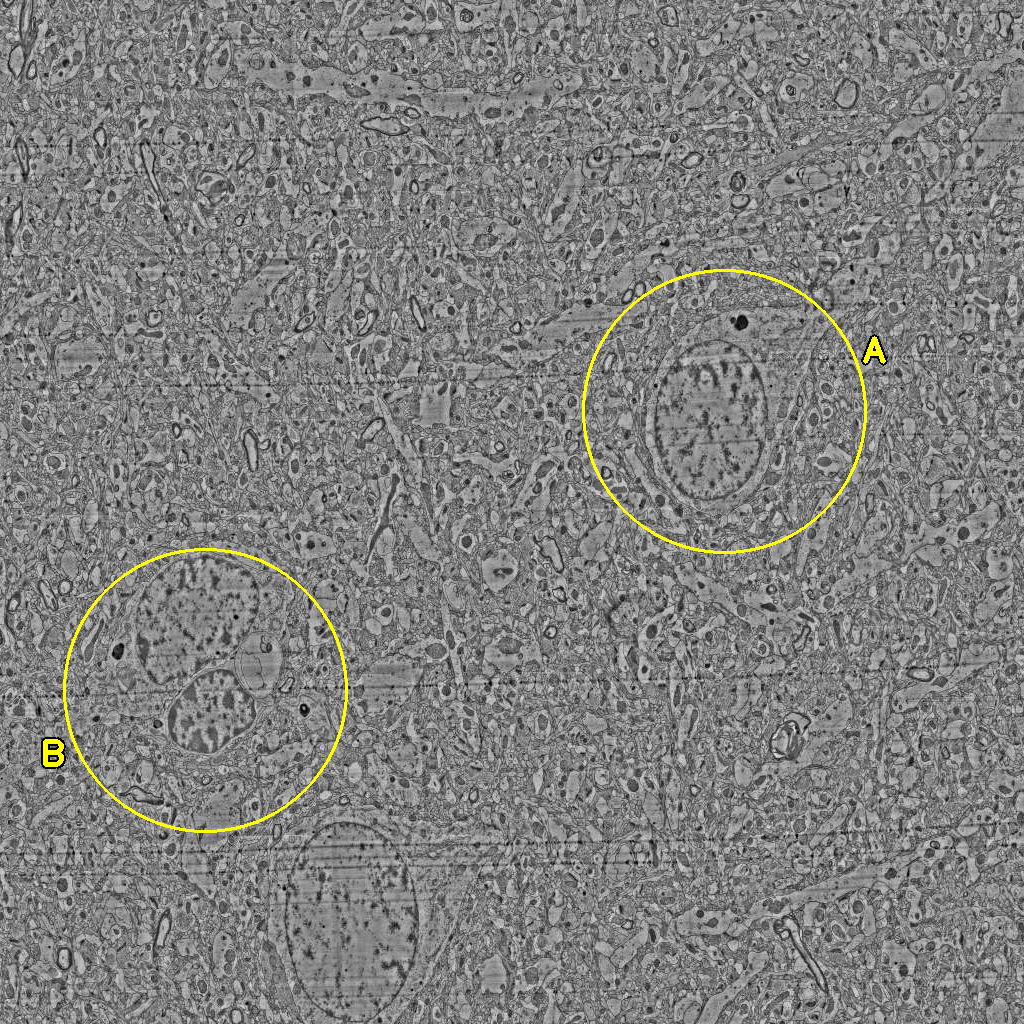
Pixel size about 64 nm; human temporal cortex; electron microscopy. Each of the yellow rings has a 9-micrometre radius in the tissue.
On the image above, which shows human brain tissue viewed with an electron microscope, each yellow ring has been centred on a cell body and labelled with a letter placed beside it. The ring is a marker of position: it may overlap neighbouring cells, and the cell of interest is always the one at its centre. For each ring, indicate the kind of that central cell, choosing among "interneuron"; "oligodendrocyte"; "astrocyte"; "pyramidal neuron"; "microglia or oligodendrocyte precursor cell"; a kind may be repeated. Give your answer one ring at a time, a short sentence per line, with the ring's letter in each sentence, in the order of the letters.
Ring A shows a pyramidal neuron at its centre.
Ring B shows a microglial cell or oligodendrocyte precursor cell at its centre.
